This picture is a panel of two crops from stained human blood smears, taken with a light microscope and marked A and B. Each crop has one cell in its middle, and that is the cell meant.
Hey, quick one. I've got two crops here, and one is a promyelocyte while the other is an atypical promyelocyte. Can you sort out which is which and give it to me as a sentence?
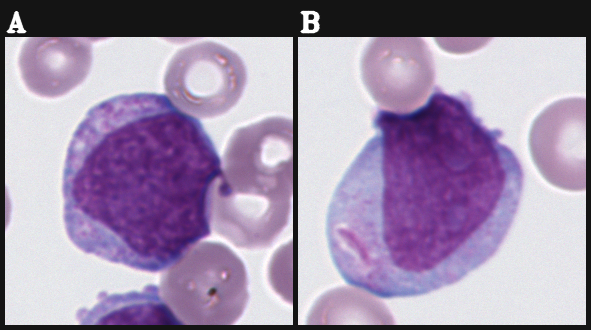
Crop A displays a promyelocyte, and crop B displays an atypical promyelocyte.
